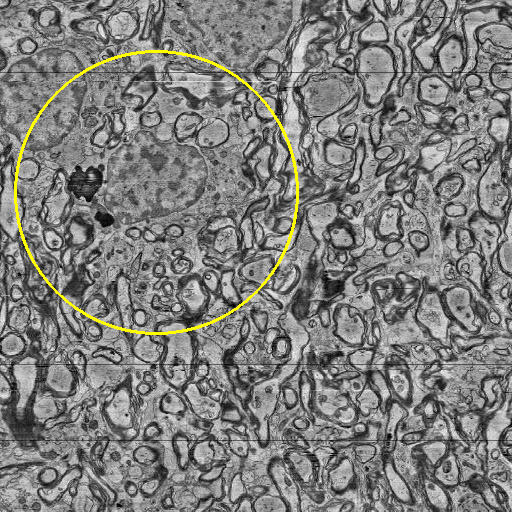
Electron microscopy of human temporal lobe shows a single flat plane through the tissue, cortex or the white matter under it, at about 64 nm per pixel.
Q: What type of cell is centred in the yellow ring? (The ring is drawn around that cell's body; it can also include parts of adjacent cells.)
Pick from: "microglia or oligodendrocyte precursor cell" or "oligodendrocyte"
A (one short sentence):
The yellow ring is centred on an oligodendrocyte.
